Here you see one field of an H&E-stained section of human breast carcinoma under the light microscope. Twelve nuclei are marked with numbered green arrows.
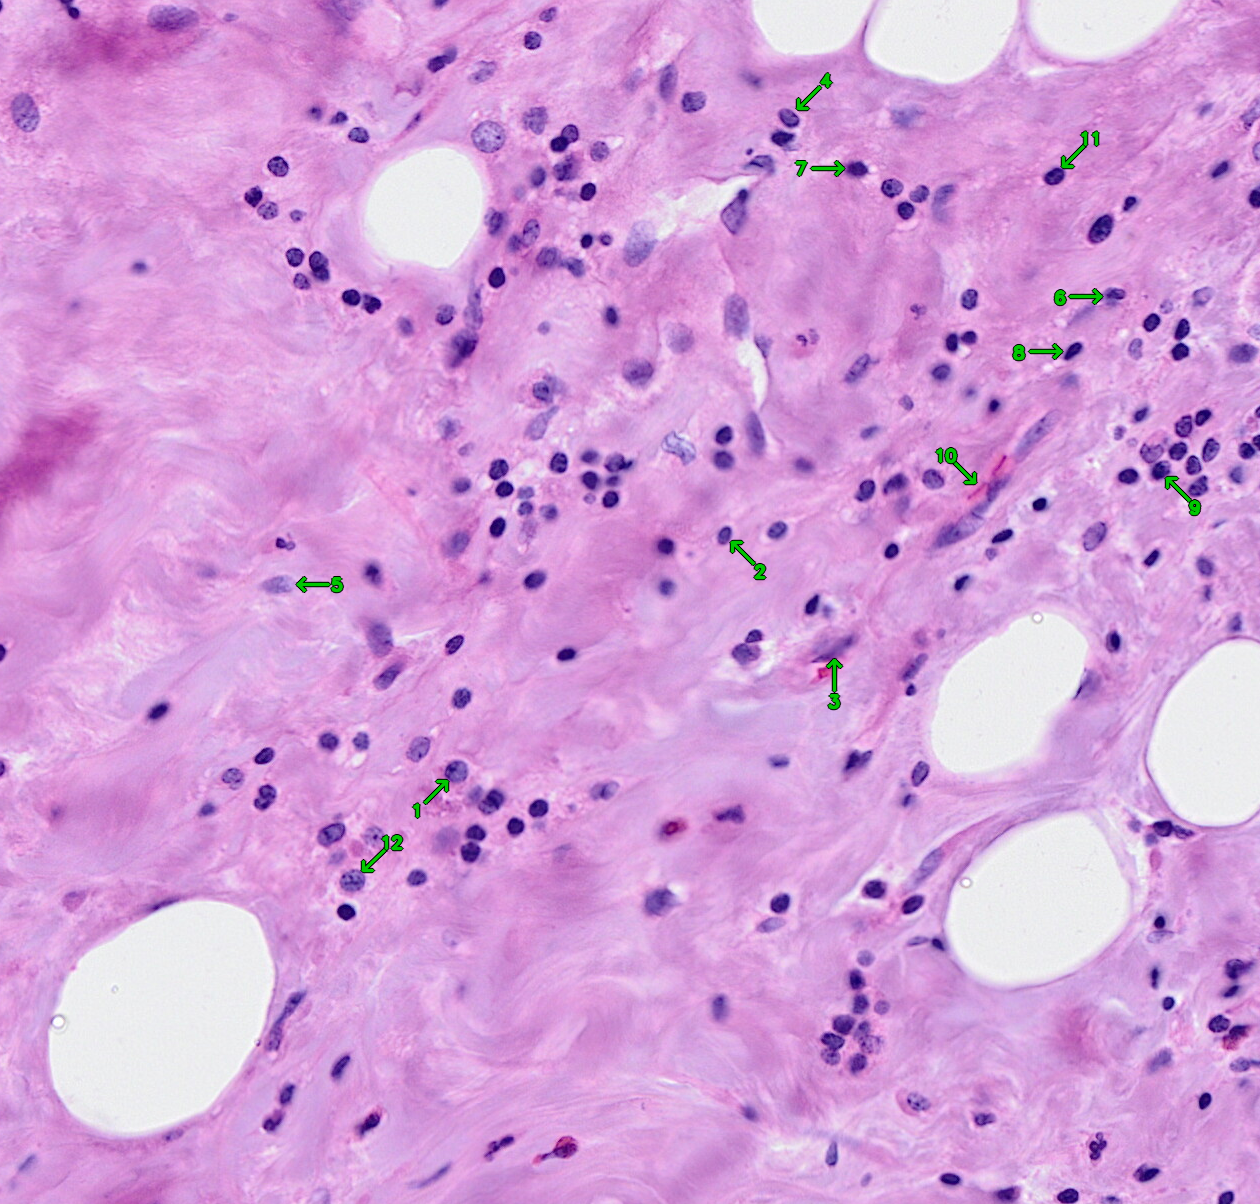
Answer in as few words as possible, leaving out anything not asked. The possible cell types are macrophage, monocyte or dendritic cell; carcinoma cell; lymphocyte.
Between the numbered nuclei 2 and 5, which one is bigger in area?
5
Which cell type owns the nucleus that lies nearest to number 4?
lymphocyte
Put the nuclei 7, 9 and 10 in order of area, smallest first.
9, 7, 10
